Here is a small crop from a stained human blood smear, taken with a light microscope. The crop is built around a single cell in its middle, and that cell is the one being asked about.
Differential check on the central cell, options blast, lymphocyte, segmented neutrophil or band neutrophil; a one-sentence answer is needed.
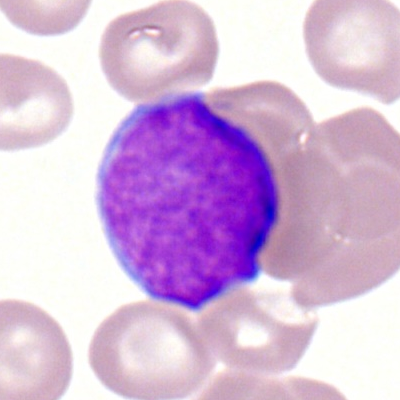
This particular crop is centered on a blast.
